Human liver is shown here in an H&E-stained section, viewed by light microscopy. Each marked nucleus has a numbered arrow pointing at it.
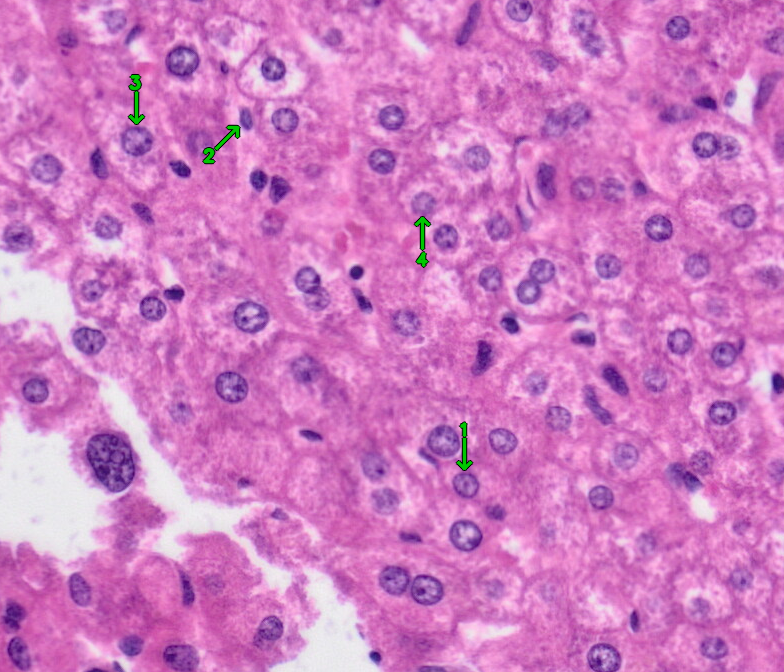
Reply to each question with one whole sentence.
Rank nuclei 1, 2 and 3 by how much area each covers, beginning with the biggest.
Largest first, the order by area is 3, 1, 2.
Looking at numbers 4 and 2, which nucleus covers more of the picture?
The larger nucleus is 4, at roughly 2 times the area of 2.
